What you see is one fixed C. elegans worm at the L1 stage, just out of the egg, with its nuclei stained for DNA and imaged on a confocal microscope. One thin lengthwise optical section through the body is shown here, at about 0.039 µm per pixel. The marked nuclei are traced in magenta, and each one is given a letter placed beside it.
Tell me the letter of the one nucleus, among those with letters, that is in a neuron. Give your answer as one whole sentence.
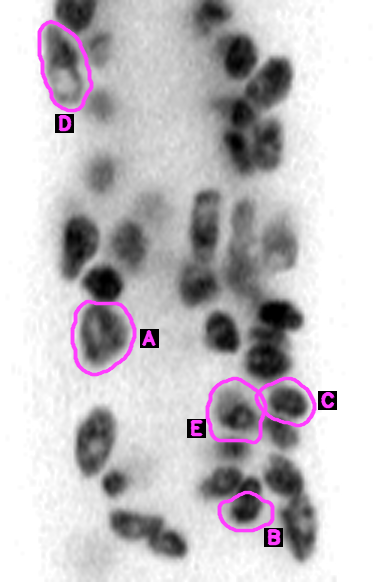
Nucleus C belongs to a neuron.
